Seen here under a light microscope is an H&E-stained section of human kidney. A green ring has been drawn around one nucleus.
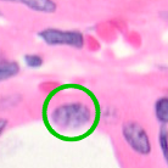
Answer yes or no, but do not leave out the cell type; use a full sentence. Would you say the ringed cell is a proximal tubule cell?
No, the ringed cell is regarded as a collecting duct cell rather than a proximal tubule cell.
